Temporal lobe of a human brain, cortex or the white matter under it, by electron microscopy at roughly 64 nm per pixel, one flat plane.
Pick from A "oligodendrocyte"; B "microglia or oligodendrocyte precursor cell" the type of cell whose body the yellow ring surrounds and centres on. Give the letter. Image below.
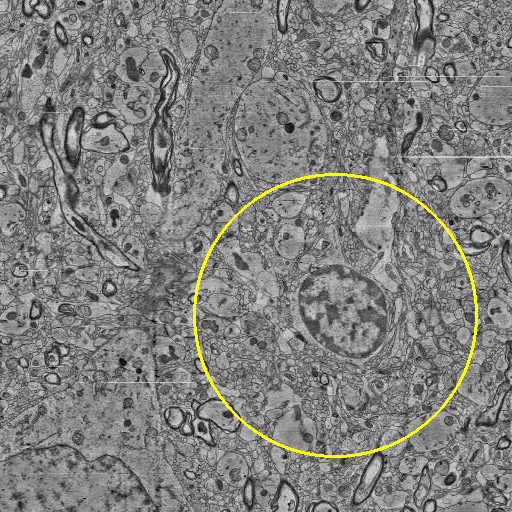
B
